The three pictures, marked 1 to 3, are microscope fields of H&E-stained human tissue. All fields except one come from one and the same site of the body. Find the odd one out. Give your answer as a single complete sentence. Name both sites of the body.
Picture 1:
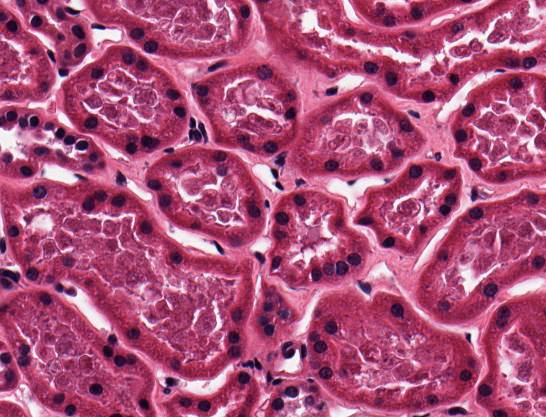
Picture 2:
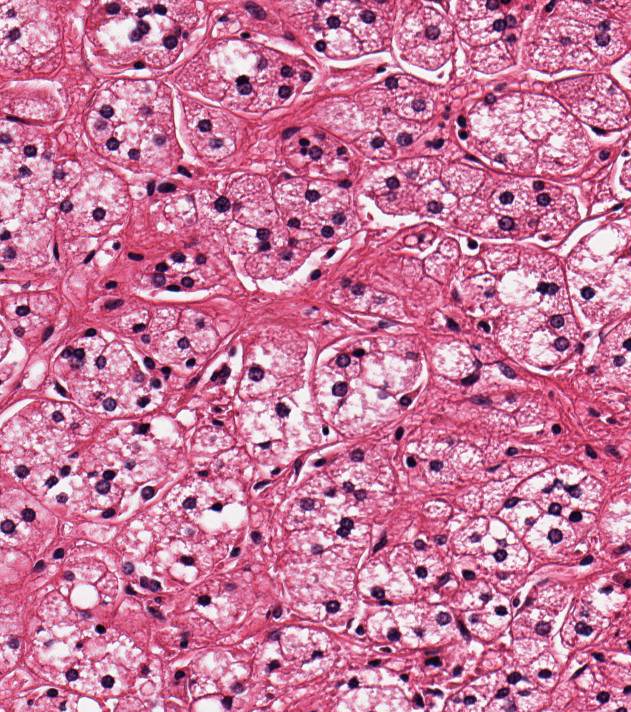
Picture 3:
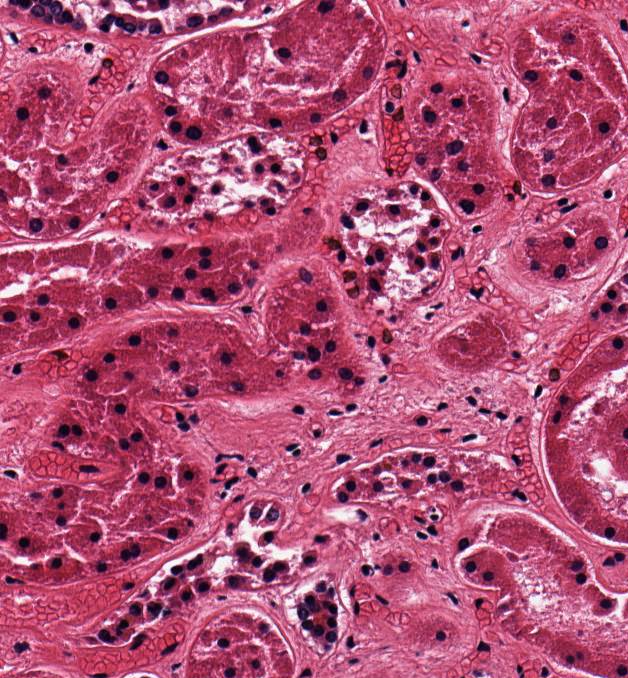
Picture 2 is the odd one out: it comes from the adrenal gland, while the others come from the renal cortex.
